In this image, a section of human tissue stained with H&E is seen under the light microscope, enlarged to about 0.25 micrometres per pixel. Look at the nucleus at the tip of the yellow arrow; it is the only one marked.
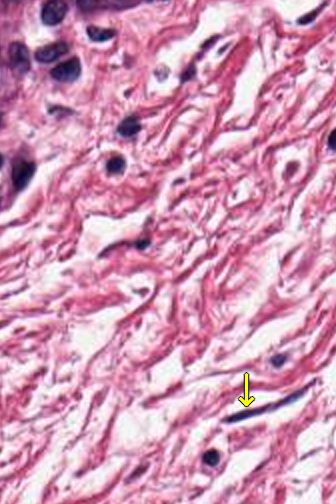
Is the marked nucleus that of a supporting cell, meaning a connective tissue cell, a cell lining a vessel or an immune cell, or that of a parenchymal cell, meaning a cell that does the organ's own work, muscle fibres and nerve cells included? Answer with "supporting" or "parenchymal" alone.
supporting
